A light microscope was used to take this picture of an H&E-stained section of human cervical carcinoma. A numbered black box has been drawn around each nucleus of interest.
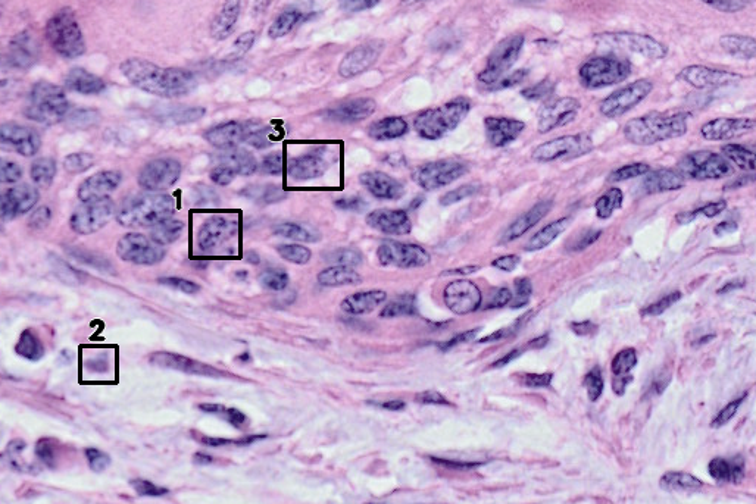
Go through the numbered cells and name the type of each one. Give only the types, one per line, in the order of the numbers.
squamous carcinoma cell
fibroblast
squamous carcinoma cell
